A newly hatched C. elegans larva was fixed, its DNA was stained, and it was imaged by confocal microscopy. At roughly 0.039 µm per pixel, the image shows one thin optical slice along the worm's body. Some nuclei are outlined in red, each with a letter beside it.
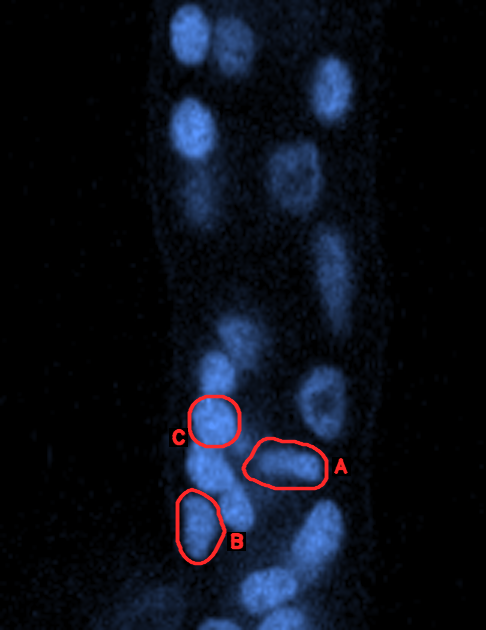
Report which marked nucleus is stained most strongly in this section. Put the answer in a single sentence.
C is stained most strongly in this section.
